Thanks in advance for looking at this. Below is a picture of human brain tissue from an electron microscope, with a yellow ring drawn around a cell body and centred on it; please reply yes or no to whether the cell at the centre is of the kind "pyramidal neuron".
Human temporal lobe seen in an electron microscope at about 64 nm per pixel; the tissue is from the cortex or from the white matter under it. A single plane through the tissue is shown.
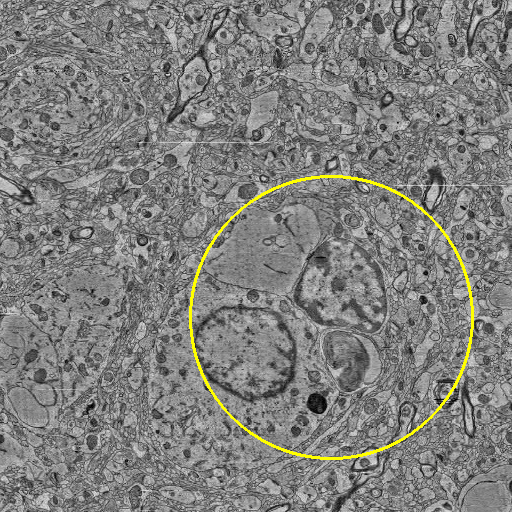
no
